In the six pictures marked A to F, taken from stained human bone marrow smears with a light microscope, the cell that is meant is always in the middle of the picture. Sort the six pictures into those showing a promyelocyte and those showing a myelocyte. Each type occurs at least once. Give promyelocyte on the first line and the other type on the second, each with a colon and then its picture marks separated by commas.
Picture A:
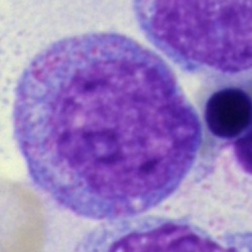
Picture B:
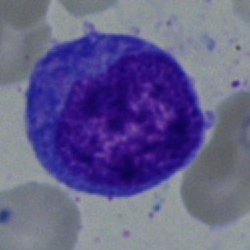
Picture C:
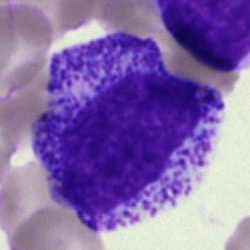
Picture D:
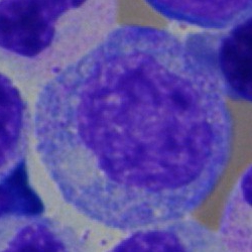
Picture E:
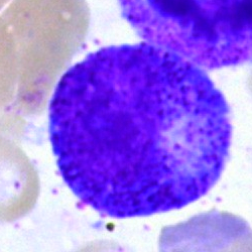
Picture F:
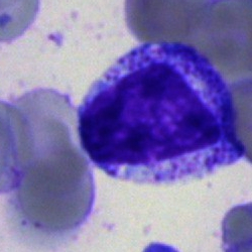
promyelocyte: A, B, D, E
myelocyte: C, F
